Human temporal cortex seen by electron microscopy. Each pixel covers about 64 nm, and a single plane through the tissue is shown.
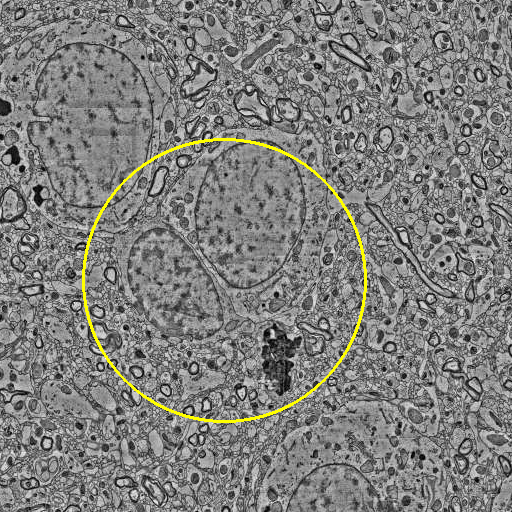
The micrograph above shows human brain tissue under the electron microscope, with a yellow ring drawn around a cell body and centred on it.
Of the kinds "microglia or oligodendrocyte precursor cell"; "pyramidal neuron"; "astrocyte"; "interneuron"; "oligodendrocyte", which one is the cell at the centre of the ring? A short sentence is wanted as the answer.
The one at the centre of the ring is an oligodendrocyte.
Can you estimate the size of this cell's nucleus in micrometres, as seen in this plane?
The nucleus works out at approximately 10 by 7 micrometres in this plane.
